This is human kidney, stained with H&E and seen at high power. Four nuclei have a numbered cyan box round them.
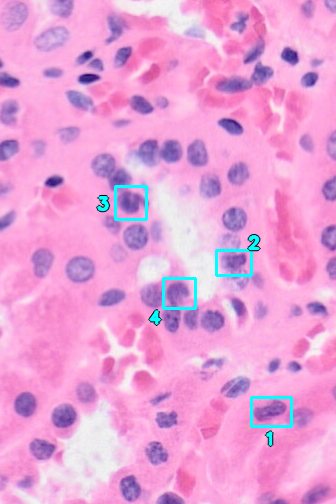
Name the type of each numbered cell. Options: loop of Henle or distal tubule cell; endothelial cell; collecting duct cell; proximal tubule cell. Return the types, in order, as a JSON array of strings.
["proximal tubule cell", "collecting duct cell", "collecting duct cell", "collecting duct cell"]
